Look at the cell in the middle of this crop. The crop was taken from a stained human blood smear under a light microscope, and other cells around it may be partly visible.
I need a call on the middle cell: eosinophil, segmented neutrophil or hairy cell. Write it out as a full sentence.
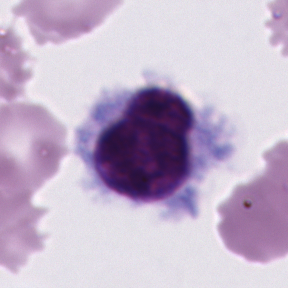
The cell shown in the center of this light-microscope crop is a hairy cell.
